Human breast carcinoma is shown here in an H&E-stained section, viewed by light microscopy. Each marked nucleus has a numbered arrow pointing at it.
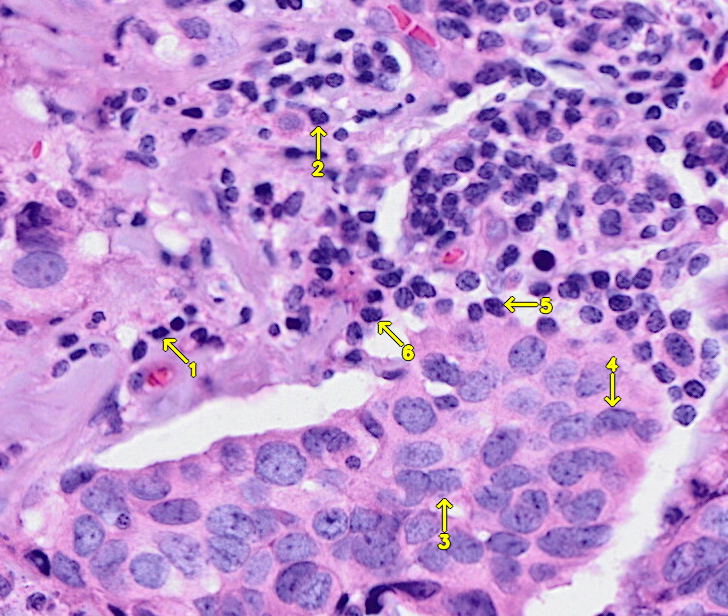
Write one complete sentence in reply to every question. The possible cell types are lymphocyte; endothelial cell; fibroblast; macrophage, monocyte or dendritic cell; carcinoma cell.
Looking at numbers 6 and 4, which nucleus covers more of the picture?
The larger nucleus is 4, at roughly 3 times the area of 6.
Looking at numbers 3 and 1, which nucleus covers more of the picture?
Of the two, number 3 is bigger and takes up about 3 times the area of number 1.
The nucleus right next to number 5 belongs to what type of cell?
It is a lymphocyte whose nucleus is nearest to number 5.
